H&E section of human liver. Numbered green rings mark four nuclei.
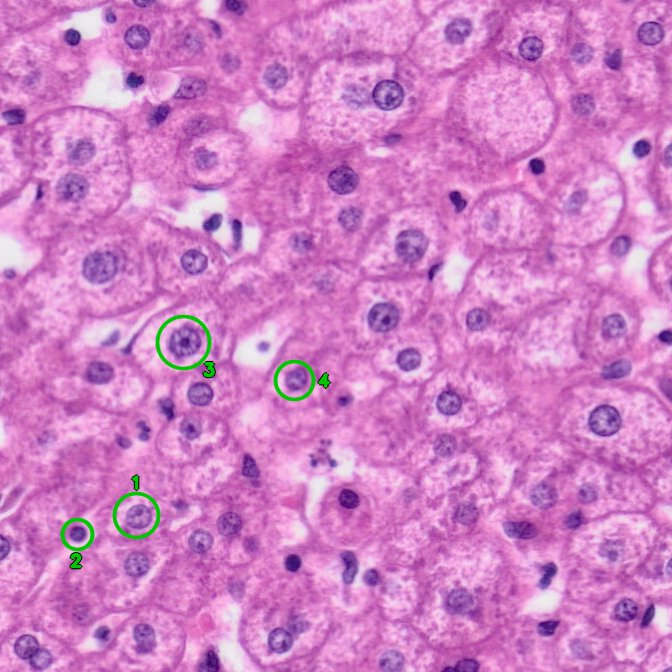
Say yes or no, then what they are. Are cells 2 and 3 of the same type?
No, the proper labels are a lymphocyte for cell 2 and a hepatocyte for cell 3.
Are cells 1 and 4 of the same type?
Yes, cells 1 and 4 both belong among the hepatocytes.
